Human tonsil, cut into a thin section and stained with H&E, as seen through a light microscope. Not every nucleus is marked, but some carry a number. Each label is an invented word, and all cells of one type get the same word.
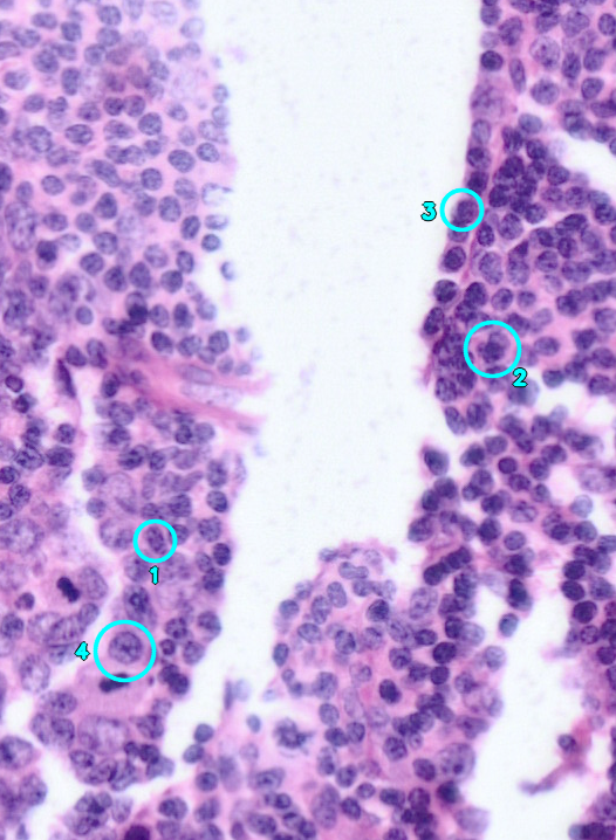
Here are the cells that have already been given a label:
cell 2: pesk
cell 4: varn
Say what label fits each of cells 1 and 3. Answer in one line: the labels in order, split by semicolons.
varn; pesk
